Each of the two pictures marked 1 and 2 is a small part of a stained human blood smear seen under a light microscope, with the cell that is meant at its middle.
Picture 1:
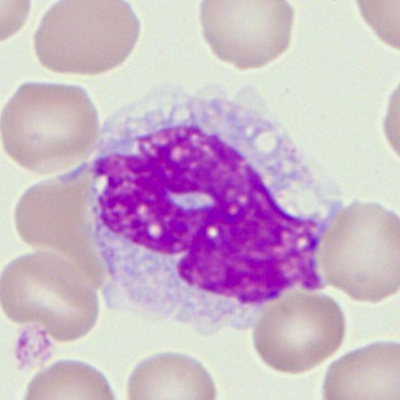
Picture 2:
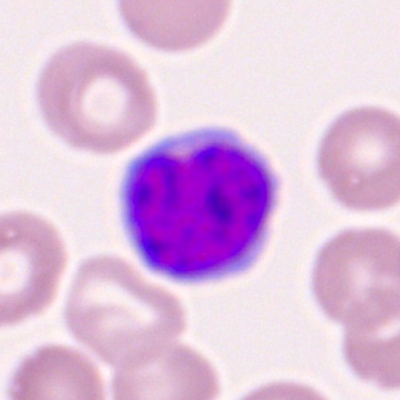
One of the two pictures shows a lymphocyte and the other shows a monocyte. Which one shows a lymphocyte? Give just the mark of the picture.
2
